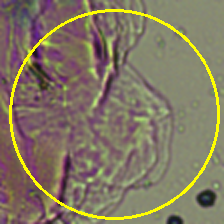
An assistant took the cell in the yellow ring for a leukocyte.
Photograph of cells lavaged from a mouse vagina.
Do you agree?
I disagree, it is a cornified epithelial cell.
